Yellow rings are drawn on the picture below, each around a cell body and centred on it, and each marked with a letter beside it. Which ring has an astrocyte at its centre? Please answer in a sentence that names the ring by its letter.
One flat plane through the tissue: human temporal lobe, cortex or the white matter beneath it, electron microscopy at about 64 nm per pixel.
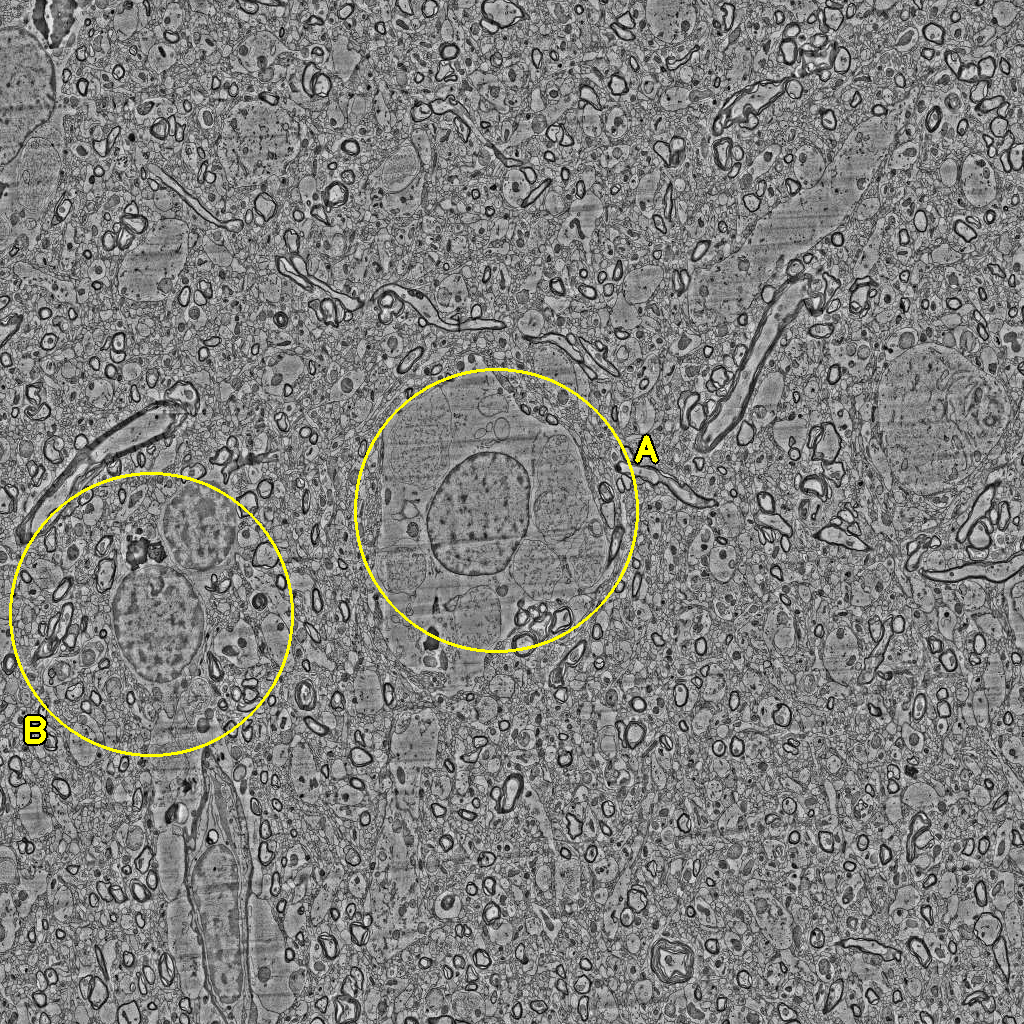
That is ring A.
